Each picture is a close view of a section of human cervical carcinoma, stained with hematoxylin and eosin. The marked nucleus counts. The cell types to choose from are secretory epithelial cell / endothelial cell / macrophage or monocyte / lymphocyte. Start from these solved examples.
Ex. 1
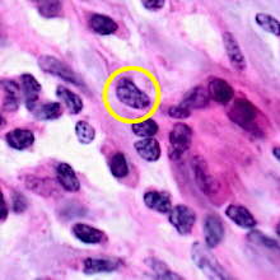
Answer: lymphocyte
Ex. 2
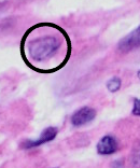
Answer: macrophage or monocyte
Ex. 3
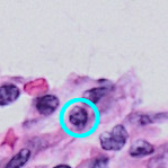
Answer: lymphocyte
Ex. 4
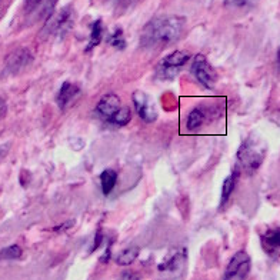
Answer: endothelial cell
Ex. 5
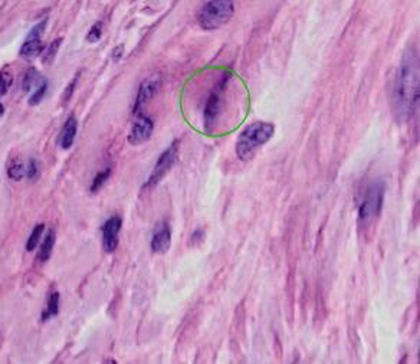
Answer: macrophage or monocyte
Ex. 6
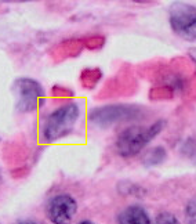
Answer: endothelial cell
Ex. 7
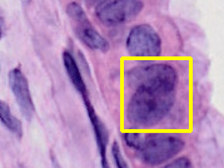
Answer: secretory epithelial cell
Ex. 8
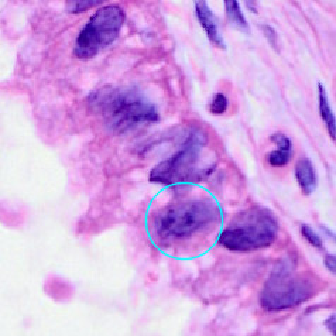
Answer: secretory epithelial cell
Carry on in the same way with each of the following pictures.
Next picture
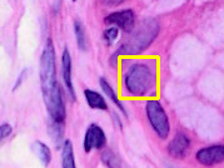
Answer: secretory epithelial cell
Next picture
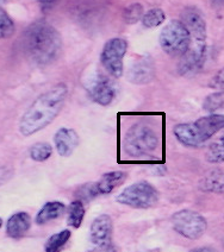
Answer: endothelial cell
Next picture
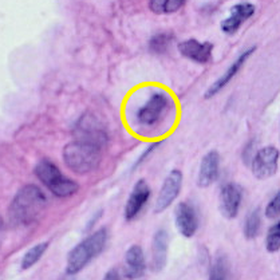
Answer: secretory epithelial cell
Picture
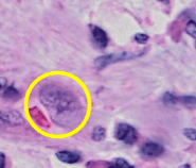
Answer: endothelial cell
